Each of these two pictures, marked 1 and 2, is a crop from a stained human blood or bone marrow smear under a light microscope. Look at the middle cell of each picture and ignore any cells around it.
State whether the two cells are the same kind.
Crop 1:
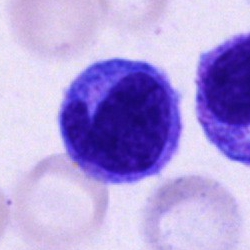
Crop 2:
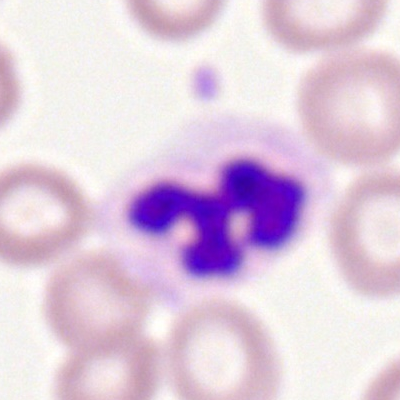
no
